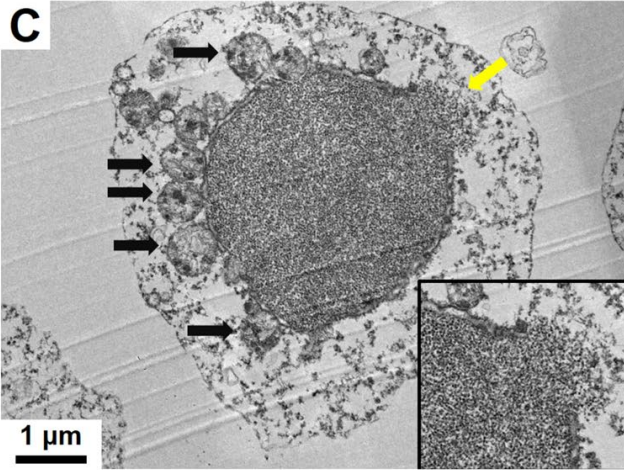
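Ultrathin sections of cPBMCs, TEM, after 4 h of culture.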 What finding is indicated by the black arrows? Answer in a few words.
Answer: swollen mitochondria with cristae disruption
